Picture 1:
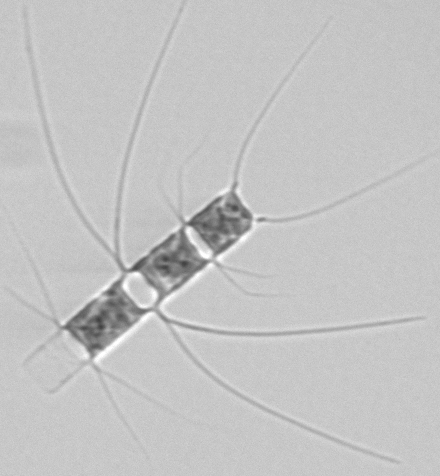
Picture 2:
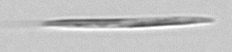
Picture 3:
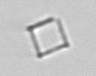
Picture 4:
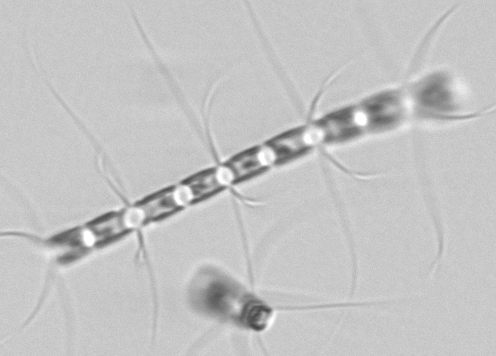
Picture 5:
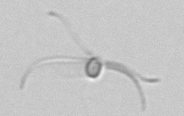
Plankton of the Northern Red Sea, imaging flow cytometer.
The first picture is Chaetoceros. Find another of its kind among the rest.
Picture 4.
